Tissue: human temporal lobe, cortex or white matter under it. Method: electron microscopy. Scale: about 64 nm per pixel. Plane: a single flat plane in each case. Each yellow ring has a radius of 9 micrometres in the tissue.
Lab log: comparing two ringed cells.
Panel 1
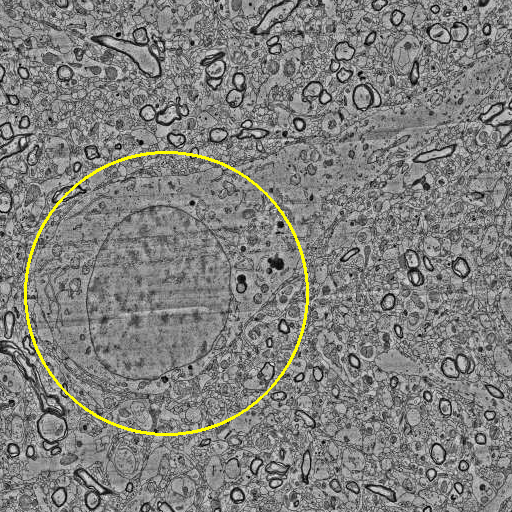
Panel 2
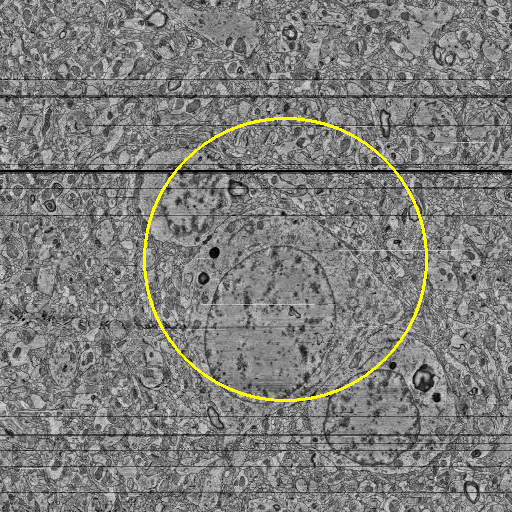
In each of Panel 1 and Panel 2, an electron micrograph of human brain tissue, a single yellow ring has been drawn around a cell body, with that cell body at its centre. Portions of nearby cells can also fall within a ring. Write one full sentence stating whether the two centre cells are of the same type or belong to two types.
The cells at the ring centres in Panel 1 and Panel 2 are of the same type.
